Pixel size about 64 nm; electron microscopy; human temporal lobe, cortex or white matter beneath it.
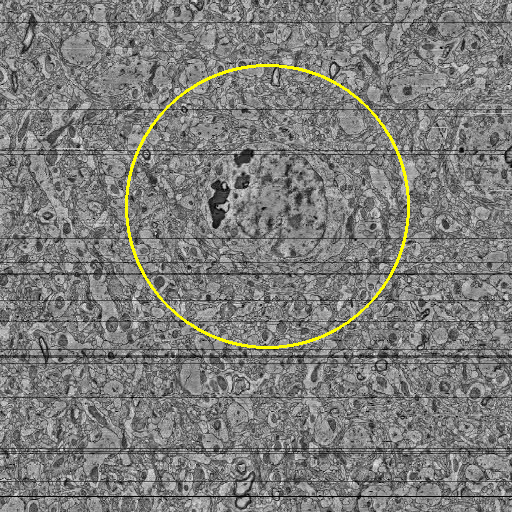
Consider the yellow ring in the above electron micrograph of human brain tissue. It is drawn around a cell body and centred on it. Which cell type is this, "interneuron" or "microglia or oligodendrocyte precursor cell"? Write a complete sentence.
The cell in question is an interneuron.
